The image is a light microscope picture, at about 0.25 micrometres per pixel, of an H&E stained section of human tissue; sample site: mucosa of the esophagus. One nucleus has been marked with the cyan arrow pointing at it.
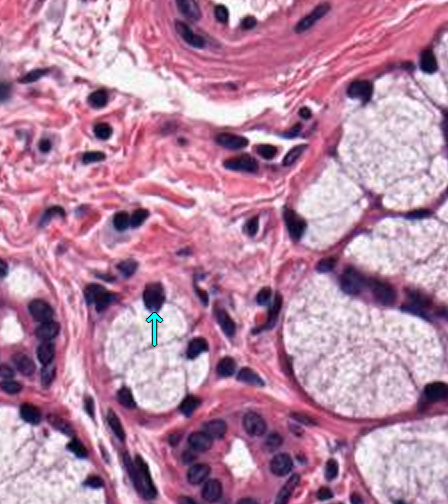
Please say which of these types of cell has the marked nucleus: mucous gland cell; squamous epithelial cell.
mucous gland cell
